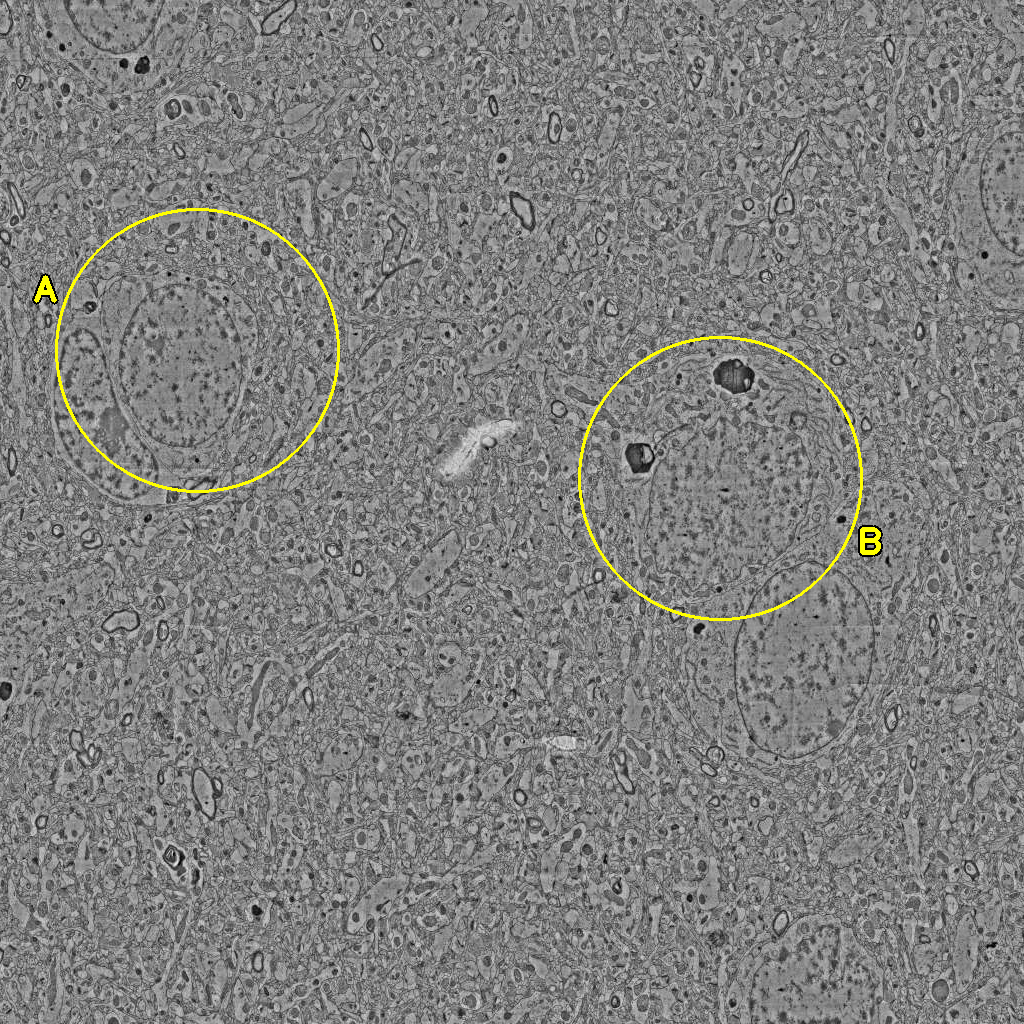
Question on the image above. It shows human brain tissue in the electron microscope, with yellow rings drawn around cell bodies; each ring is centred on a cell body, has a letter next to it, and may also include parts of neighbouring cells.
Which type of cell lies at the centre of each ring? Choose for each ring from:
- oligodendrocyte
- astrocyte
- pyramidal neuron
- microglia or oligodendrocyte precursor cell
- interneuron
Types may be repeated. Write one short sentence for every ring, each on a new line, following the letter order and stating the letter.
Ring A has been drawn around a pyramidal neuron.
Ring B has been drawn around an interneuron.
